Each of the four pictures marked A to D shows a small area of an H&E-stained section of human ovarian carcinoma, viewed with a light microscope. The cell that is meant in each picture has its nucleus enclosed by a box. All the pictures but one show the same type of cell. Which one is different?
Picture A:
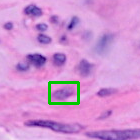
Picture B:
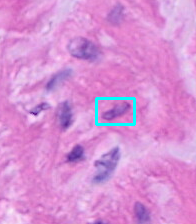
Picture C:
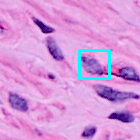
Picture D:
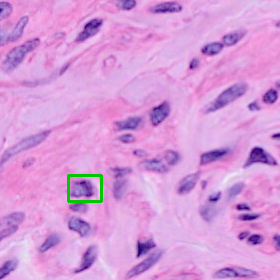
C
